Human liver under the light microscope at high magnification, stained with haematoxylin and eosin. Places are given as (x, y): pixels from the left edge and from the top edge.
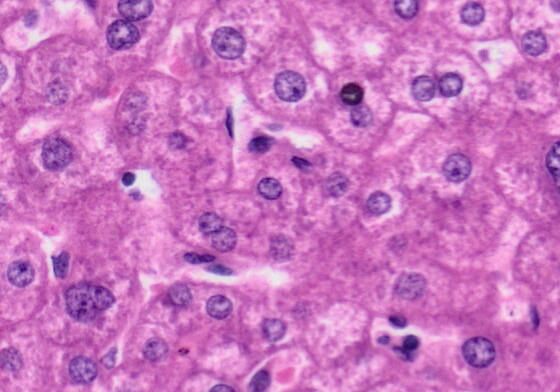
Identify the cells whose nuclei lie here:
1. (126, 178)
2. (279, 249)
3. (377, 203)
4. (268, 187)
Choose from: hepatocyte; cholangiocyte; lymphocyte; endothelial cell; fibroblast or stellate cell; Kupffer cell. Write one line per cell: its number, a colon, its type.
1: lymphocyte
2: hepatocyte
3: hepatocyte
4: hepatocyte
